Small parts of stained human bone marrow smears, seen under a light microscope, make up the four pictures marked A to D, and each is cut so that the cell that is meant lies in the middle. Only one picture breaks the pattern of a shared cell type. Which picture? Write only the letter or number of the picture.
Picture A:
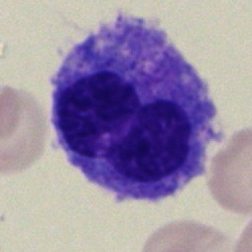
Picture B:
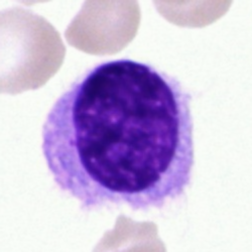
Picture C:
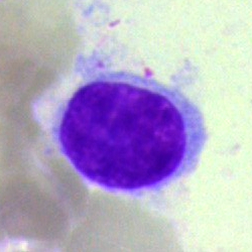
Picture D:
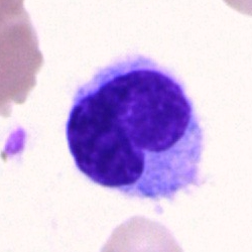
A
